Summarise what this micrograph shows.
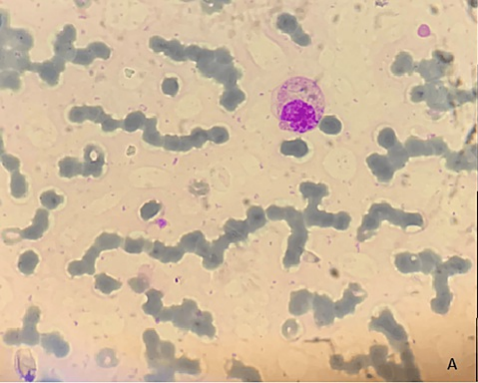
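Peripheral blood smear in which red cells are stacked in rouleaux and a single plasma cell lies among them. The red cells are grey-blue discs lined up face to face into long, branching chains that resemble stacks of coins running across the field, with clear background between the chains. Near the upper right stands one nucleated cell with a purple nucleus of coarse, clumped chromatin, set somewhat off-centre, and surrounded by a rim of pale pinkish-lilac cytoplasm. Small purple fragments of platelets are scattered between the red cell stacks.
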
